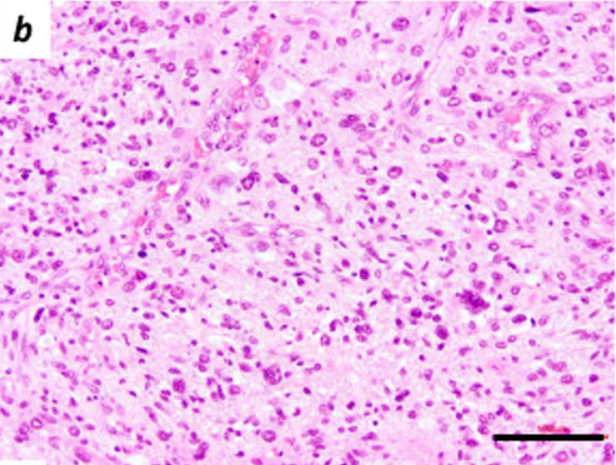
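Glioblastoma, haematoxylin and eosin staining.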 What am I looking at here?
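Highly cellular tumour tissue with numerous pleomorphic cells lying in a pale pink fibrillary background. The nuclei vary considerably in size and shape, from small oval nuclei to large round nuclei with visible nucleoli, and a few large, irregular, dark nuclei. Small vessels with pink walls cross the field.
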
